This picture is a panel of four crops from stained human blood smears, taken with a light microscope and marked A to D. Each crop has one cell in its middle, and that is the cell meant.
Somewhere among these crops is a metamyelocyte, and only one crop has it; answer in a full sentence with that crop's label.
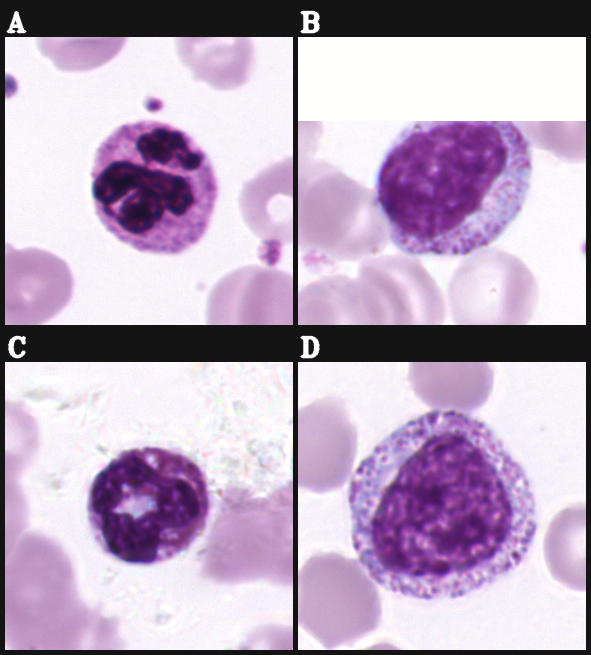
Only in crop B is a metamyelocyte shown.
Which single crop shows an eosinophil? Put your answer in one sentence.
Crop C is the crop featuring an eosinophil at its center.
